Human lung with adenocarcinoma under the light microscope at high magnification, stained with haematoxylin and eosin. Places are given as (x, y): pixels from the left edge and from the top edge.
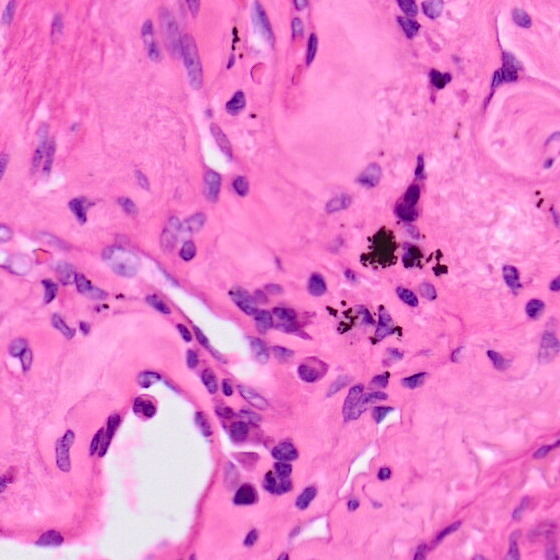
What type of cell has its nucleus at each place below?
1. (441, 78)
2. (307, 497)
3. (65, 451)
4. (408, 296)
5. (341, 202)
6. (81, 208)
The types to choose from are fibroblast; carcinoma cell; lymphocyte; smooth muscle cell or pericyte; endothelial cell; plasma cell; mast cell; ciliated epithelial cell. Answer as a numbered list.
1. plasma cell
2. lymphocyte
3. fibroblast
4. mast cell
5. fibroblast
6. fibroblast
